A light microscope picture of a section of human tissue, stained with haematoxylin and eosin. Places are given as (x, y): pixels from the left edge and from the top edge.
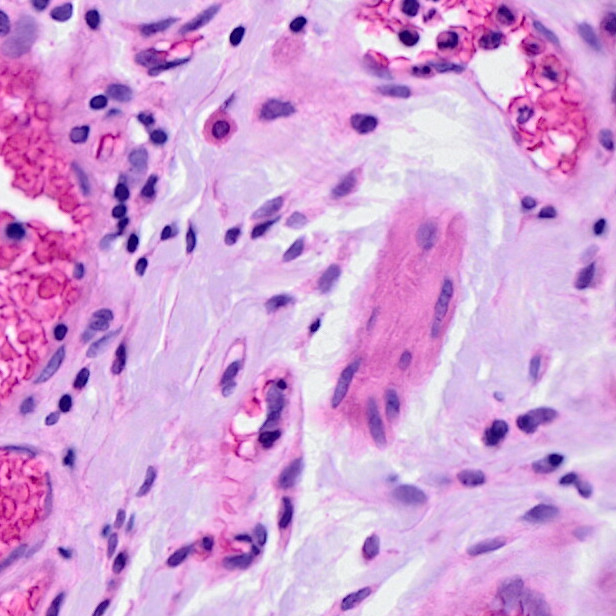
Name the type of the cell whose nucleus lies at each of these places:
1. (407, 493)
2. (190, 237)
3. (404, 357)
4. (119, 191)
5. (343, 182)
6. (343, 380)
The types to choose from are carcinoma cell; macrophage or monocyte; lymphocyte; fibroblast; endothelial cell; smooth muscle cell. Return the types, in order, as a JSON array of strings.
["fibroblast", "fibroblast", "smooth muscle cell", "lymphocyte", "fibroblast", "smooth muscle cell"]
